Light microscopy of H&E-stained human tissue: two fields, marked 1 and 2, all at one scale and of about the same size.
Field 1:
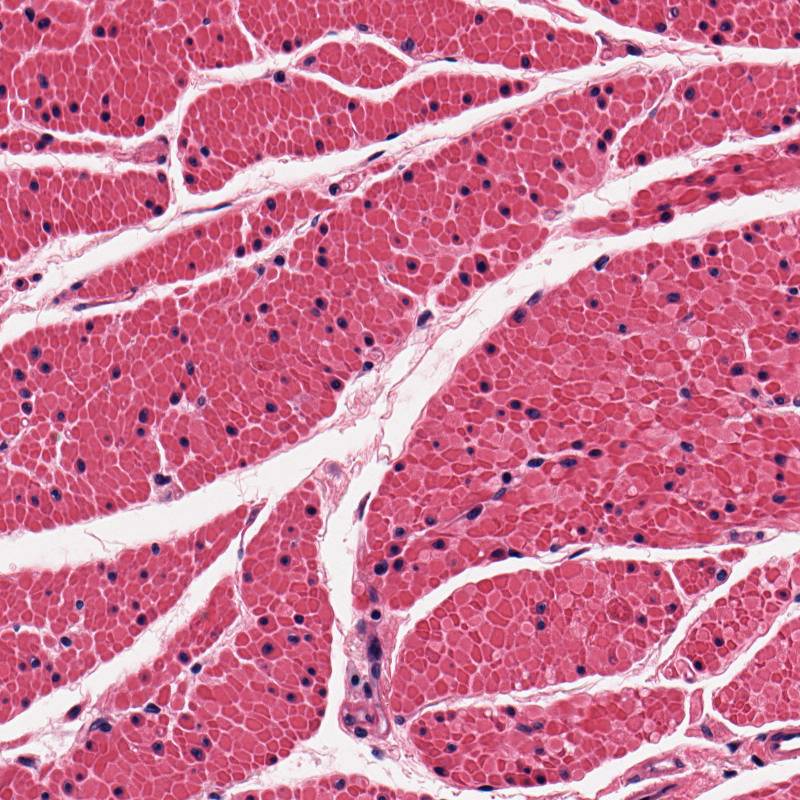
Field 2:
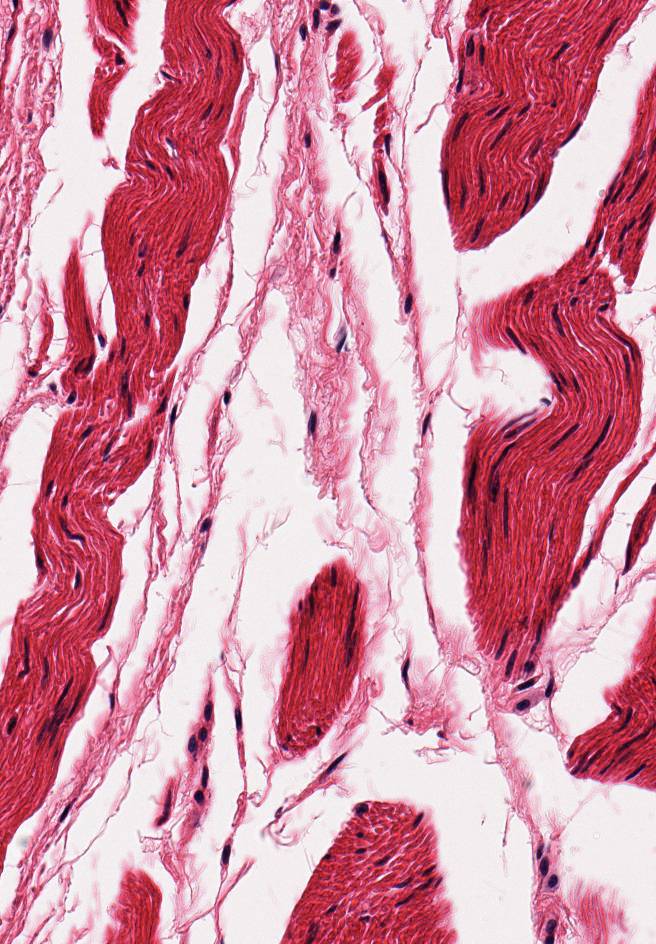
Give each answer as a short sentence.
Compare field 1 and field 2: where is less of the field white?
Field 1 has less white space.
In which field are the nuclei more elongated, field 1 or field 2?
It is field 2 whose nuclei are the more elongated.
